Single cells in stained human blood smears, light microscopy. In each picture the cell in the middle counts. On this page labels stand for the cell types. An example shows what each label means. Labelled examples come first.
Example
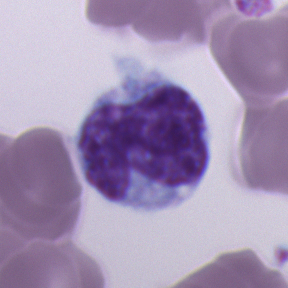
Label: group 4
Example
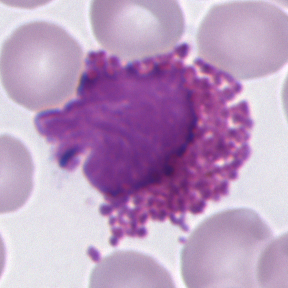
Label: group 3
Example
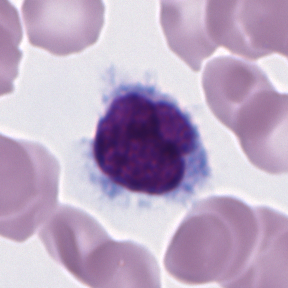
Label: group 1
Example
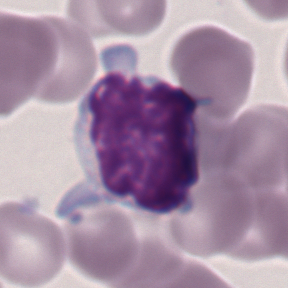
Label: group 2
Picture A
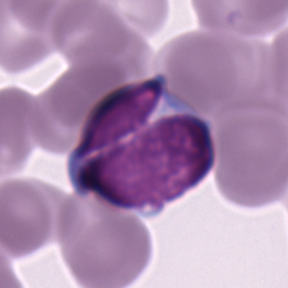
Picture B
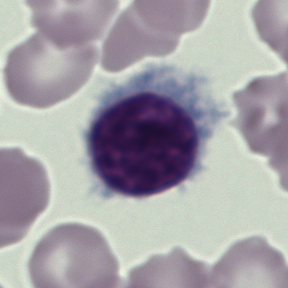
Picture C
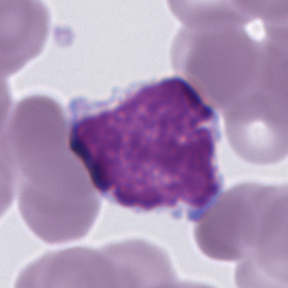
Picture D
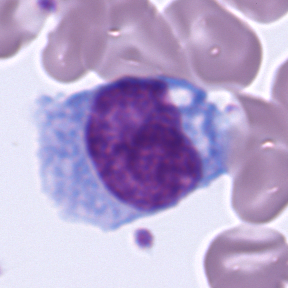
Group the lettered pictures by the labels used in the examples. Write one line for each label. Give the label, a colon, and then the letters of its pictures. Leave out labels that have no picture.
group 4: D
group 1: B
group 2: A, C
